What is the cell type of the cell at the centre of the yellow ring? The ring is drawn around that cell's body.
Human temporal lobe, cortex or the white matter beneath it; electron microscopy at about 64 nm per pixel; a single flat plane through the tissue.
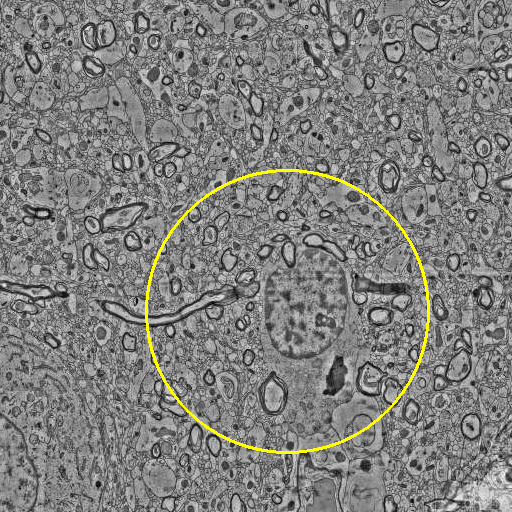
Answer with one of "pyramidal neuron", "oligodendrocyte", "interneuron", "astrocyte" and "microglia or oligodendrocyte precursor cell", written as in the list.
oligodendrocyte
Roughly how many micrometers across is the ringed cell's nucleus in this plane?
In this plane the nucleus spans approximately 7 by 5 micrometers.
